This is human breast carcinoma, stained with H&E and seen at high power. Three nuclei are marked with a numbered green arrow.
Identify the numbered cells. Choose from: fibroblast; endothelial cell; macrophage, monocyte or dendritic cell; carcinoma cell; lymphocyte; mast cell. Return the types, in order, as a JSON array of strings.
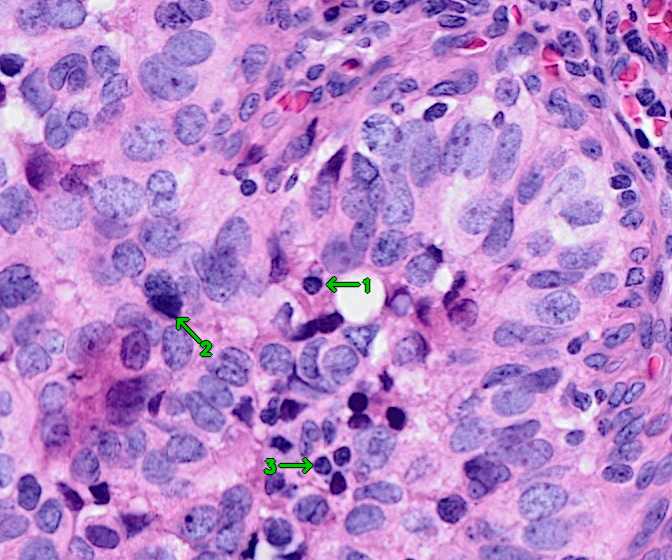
["lymphocyte", "carcinoma cell", "lymphocyte"]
